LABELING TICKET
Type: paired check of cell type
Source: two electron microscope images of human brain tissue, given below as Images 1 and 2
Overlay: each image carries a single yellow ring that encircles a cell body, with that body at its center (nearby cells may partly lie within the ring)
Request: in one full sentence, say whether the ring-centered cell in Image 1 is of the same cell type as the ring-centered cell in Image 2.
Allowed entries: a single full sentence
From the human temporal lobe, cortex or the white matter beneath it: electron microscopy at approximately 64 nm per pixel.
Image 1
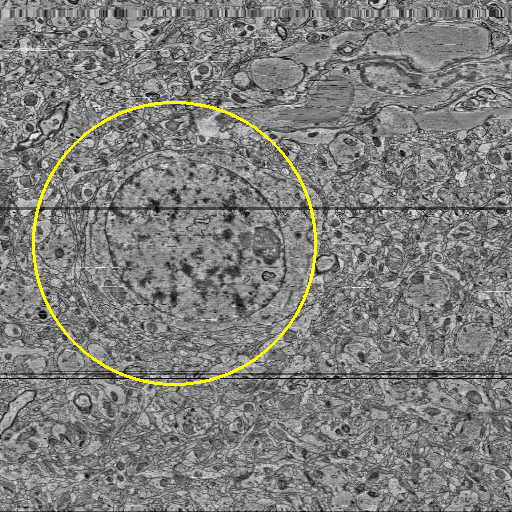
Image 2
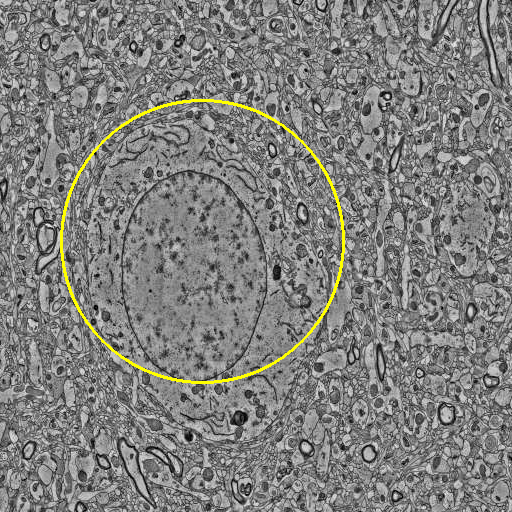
Yes, the cells centered in the rings of Image 1 and Image 2 share one type.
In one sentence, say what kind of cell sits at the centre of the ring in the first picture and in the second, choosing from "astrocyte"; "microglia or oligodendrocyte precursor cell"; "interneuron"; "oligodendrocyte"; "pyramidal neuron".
Both the first and the second picture show a pyramidal neuron in the ring.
